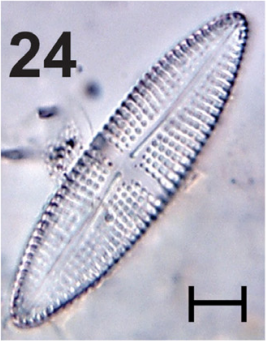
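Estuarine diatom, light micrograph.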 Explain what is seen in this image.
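The valve is lanceolate with bluntly rounded ends and is crossed by coarse transverse rows of distinct areolae. A narrow axial area runs along the midline, and a clear band crosses the middle of the valve from margin to margin.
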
